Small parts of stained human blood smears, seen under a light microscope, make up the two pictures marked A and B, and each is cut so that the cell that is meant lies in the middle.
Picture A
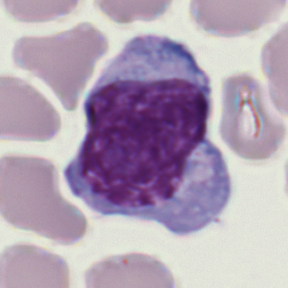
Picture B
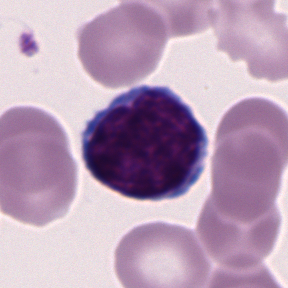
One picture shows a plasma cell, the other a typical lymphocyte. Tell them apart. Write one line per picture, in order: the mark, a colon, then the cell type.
A: plasma cell
B: typical lymphocyte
